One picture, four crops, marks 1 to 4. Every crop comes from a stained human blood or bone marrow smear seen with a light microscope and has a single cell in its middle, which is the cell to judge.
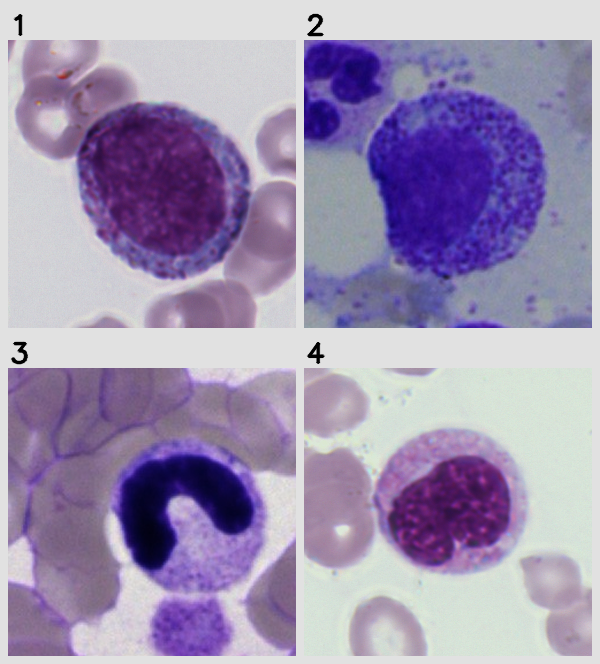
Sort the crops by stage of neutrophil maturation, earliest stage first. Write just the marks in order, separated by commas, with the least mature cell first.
1, 2, 4, 3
